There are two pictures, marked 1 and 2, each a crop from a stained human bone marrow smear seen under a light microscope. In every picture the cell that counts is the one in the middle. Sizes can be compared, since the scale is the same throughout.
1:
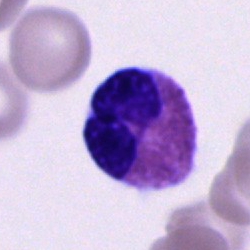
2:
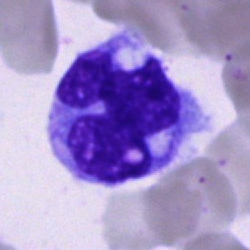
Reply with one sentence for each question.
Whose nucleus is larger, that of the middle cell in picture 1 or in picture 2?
Picture 2 shows the larger nucleus; it covers about 2 times the area of the nucleus in picture 1.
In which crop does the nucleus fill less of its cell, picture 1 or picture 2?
It is the cell in picture 1 that is filled less by its nucleus.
